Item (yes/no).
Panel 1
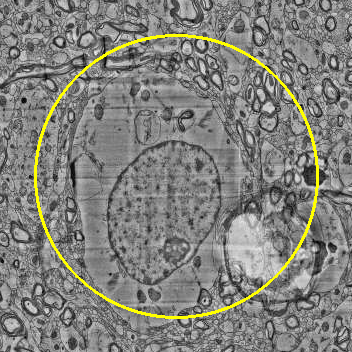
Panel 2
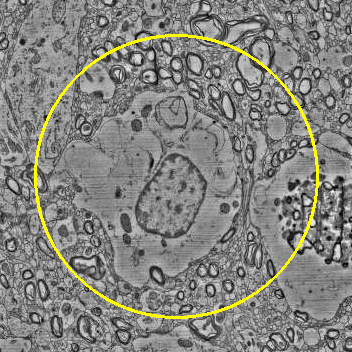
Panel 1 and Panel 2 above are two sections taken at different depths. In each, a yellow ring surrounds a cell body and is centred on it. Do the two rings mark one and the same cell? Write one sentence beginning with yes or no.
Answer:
Yes, the marked cell is the same in both rings.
